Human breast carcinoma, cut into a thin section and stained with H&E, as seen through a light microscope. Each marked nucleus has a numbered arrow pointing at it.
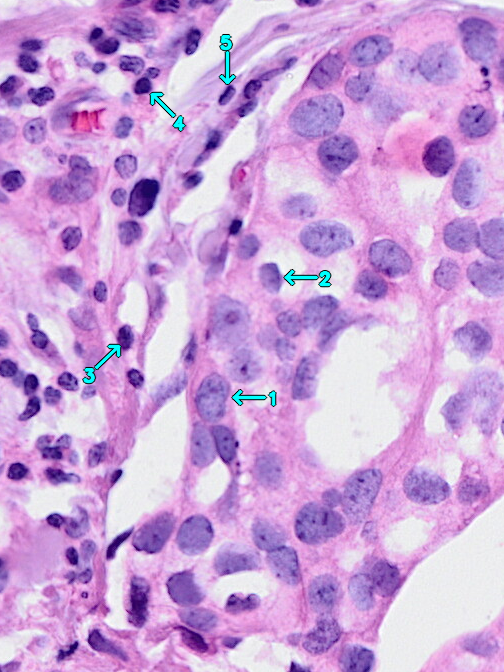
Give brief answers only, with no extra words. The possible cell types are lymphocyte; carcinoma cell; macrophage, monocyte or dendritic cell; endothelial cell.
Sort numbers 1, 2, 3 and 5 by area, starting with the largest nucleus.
1, 2, 3, 5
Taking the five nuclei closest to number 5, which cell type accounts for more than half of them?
lymphocyte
